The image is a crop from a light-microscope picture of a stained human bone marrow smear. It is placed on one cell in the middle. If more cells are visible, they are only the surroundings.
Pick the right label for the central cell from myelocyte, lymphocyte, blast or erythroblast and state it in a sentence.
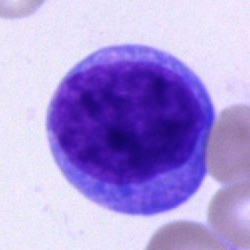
Seen at the centre of the crop is a blast.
